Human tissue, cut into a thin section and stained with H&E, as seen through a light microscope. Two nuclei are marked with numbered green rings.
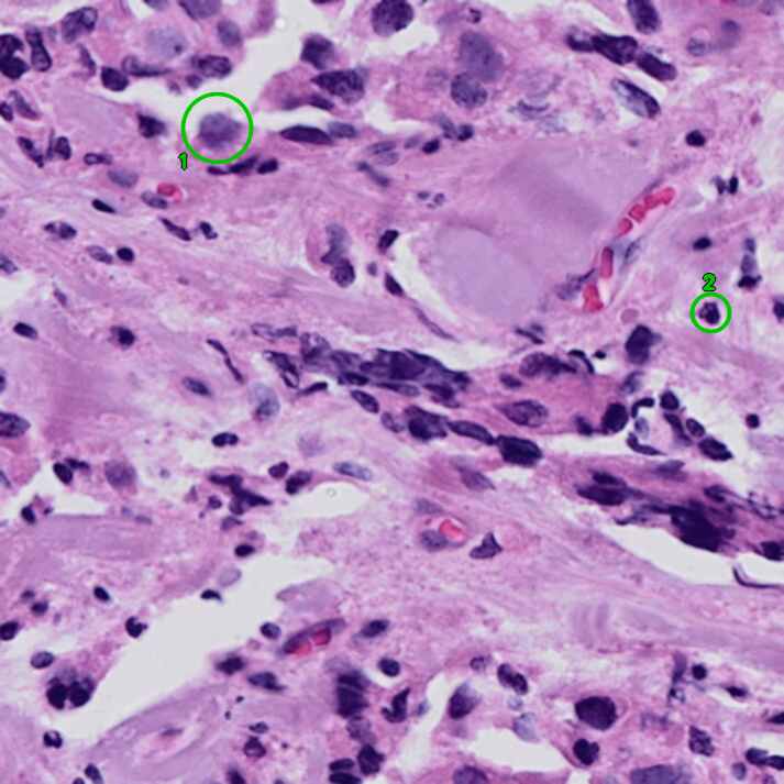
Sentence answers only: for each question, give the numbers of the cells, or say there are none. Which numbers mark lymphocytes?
Cell 2 is the only numbered cell that is a lymphocyte.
